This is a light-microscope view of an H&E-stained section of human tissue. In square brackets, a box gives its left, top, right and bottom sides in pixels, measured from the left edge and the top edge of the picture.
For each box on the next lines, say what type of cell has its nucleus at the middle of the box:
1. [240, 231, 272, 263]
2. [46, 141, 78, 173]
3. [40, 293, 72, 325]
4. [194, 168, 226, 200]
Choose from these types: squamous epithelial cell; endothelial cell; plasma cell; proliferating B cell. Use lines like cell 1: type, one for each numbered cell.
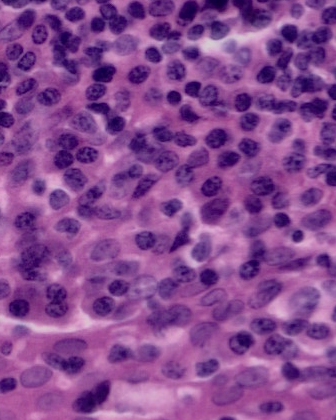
cell 1: squamous epithelial cell
cell 2: plasma cell
cell 3: plasma cell
cell 4: plasma cell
